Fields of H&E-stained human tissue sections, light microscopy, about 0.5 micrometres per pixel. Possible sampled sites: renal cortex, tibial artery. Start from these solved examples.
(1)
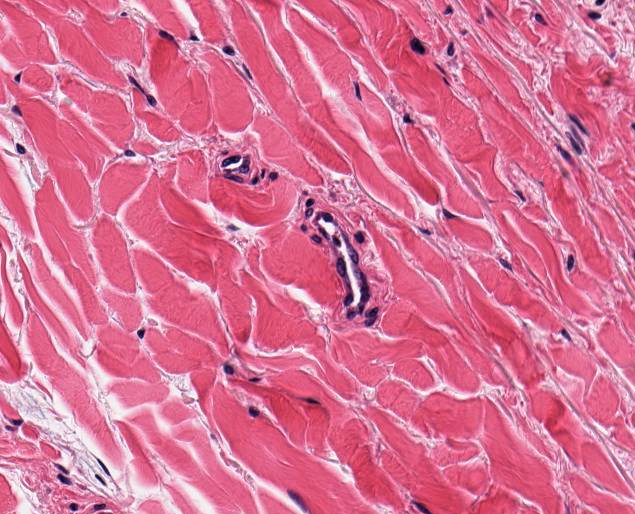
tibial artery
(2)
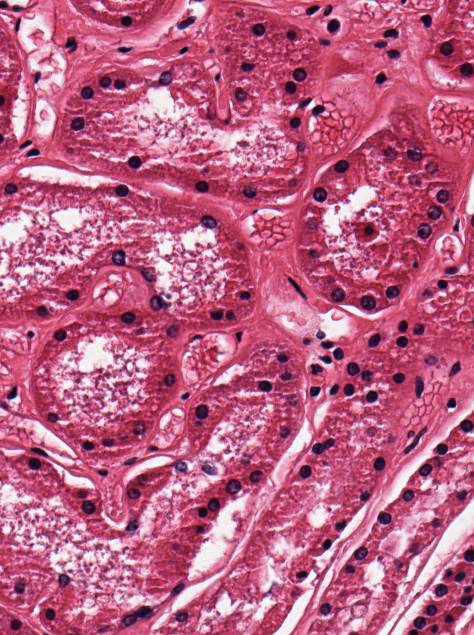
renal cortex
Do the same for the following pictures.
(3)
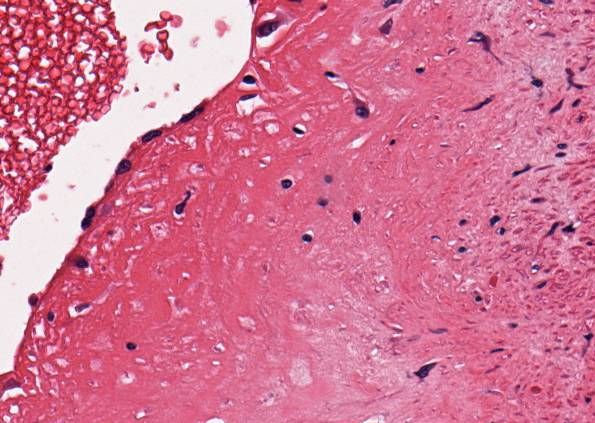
tibial artery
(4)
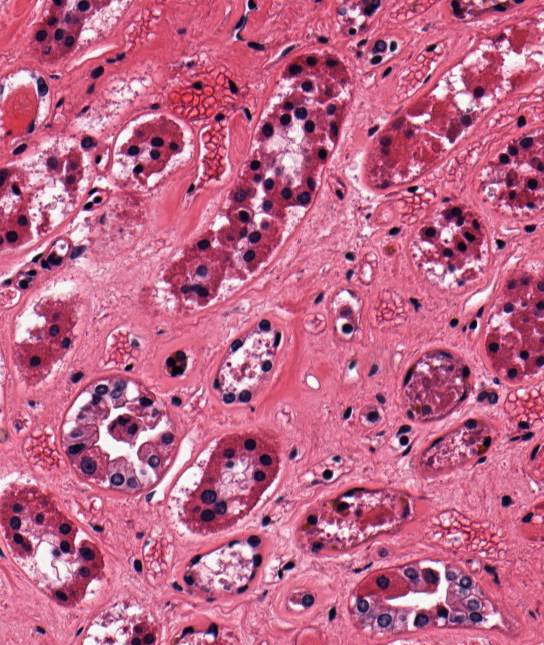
renal cortex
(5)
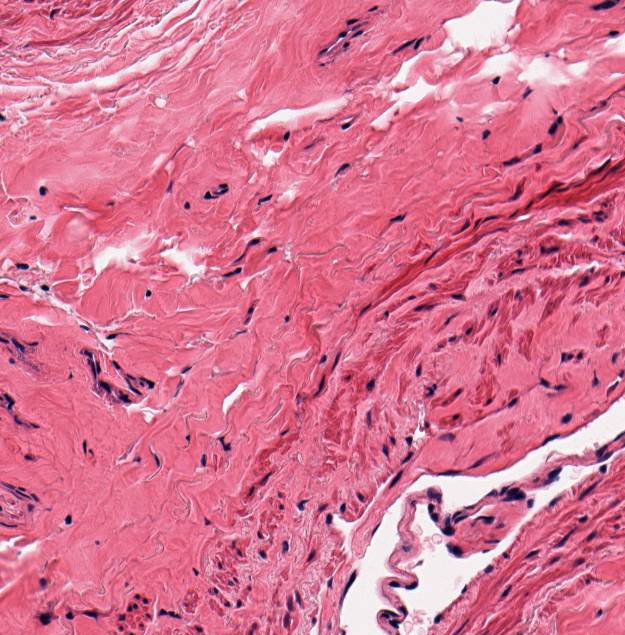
tibial artery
